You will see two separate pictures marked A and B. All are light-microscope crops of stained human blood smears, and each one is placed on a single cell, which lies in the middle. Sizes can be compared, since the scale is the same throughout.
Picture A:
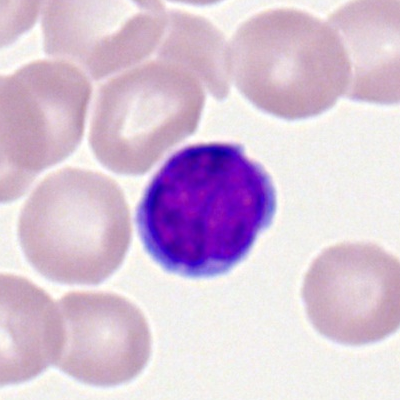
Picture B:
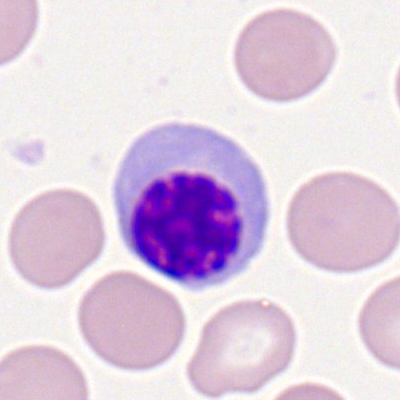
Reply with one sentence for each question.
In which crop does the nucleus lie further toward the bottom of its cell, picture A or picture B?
Seen within its cell, the nucleus in picture B lies further toward the bottom.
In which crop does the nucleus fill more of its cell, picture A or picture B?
It is the cell in picture A that is filled more by its nucleus.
